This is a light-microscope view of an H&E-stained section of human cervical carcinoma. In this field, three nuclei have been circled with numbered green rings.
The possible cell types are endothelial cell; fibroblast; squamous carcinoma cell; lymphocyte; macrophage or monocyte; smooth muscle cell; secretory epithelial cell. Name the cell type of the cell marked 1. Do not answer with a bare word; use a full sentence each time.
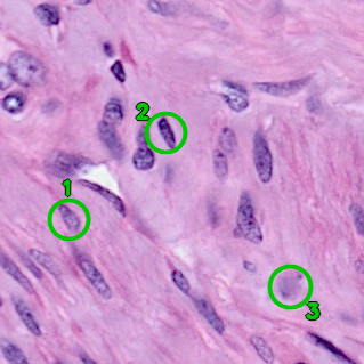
The nucleus labelled 1 belongs to a smooth muscle cell.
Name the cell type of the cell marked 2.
In this section, number 2 marks a fibroblast.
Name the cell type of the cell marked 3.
The nucleus labeled 3 belongs to a fibroblast.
